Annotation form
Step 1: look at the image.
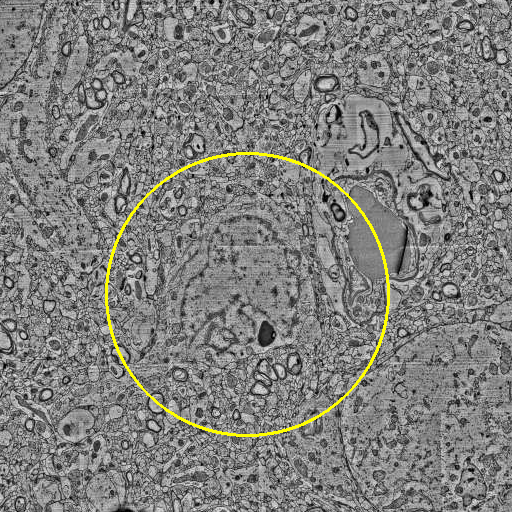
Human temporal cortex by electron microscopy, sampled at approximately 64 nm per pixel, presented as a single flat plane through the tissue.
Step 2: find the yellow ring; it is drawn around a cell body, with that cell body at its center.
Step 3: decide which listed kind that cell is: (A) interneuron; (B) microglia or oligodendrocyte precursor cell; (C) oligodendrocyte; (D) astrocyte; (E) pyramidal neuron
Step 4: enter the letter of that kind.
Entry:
A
